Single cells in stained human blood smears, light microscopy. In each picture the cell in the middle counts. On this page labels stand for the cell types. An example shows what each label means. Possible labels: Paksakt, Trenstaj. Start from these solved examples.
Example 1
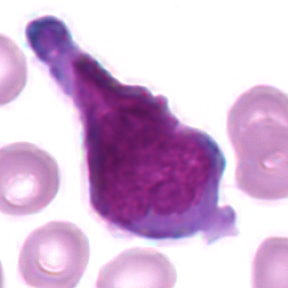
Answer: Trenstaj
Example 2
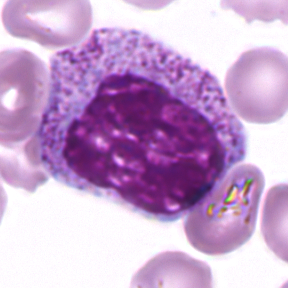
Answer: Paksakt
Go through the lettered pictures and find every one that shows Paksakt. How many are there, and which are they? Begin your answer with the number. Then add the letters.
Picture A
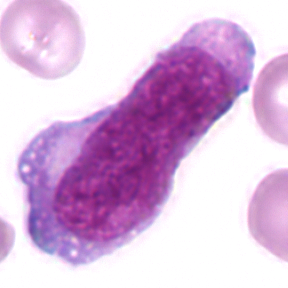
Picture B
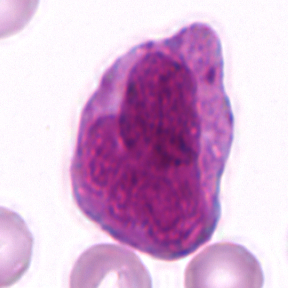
0, none of them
